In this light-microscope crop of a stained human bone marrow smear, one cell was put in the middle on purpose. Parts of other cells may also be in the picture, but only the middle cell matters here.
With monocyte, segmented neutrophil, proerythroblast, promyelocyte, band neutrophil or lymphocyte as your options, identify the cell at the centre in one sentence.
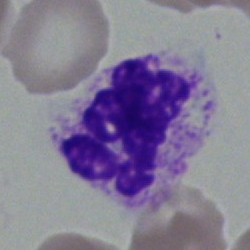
The cell sitting right in the middle is a segmented neutrophil.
